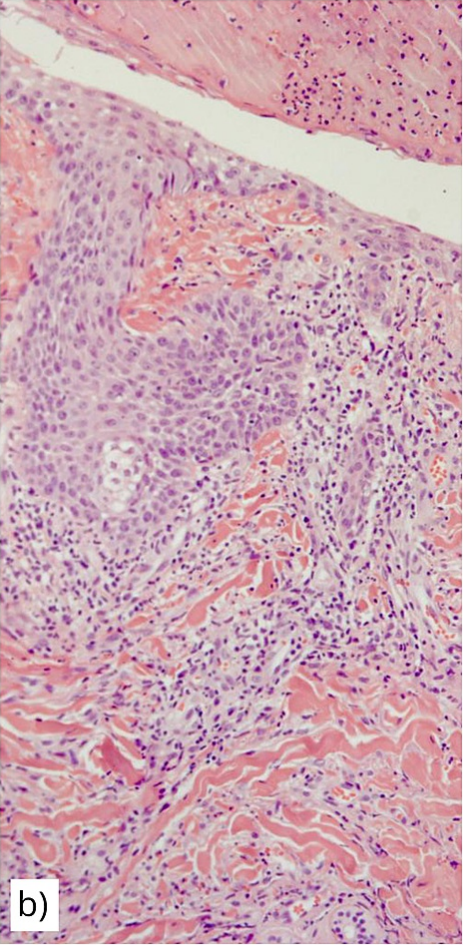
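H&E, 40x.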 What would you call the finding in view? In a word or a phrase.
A: dense, mixed, perifollicular infiltrate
